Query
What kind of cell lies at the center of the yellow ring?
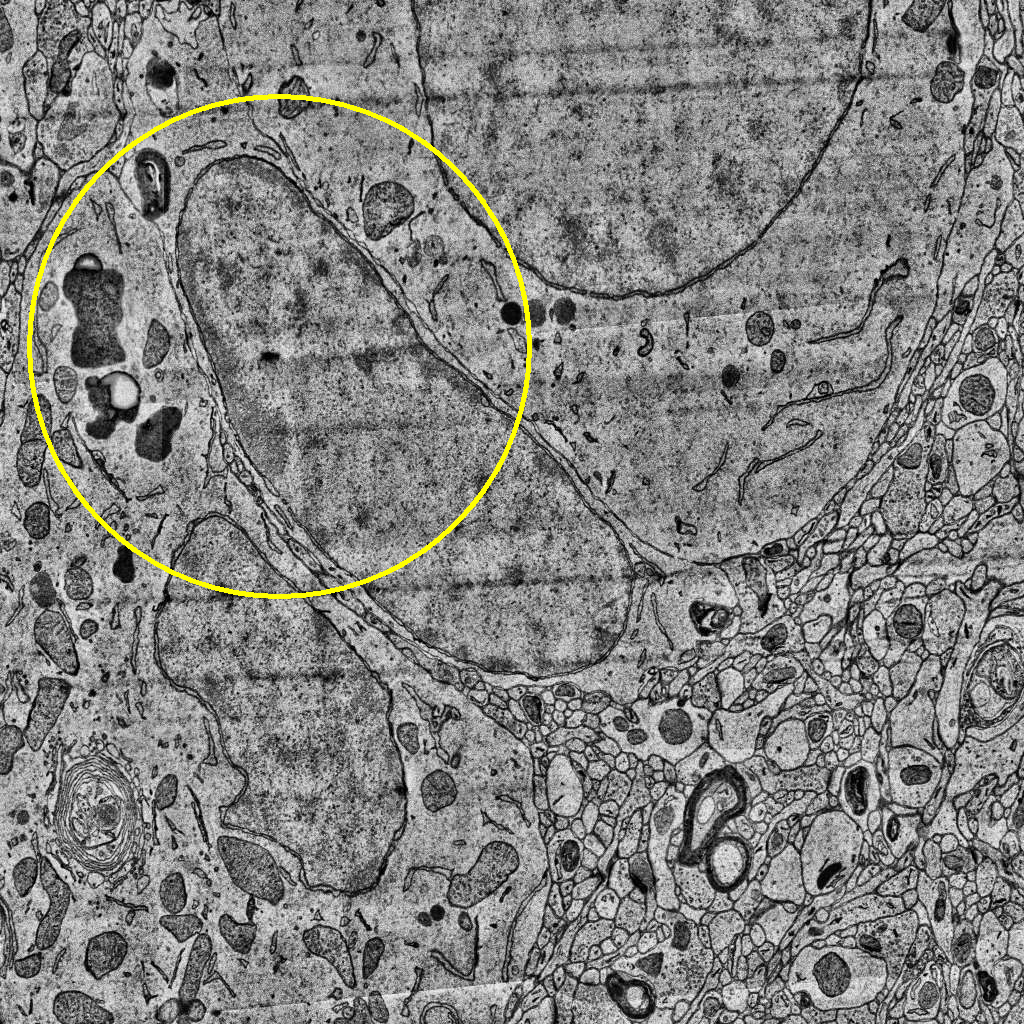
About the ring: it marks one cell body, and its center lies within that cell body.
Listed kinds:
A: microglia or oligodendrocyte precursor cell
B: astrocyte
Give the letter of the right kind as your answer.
A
